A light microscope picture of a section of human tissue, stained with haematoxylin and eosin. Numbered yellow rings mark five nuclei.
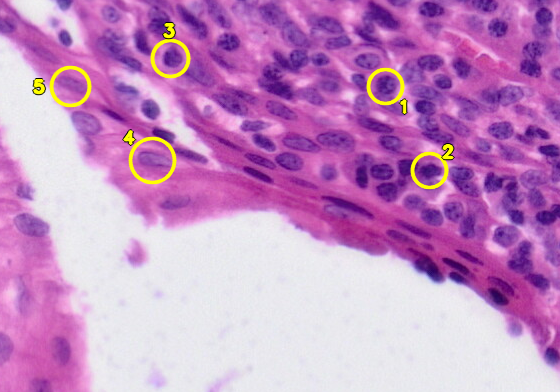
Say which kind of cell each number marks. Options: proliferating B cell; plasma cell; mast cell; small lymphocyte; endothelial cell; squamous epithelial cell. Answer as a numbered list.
1. plasma cell
2. plasma cell
3. squamous epithelial cell
4. squamous epithelial cell
5. squamous epithelial cell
